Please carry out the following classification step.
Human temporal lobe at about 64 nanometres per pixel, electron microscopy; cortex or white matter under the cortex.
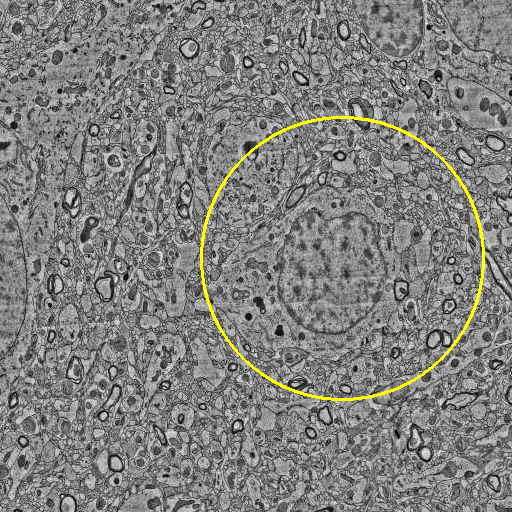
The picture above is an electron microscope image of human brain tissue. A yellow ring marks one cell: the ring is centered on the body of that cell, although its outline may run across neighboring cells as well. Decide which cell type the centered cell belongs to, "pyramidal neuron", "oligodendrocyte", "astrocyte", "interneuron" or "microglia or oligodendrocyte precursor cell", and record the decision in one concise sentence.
The cell centered in the yellow ring is an interneuron.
